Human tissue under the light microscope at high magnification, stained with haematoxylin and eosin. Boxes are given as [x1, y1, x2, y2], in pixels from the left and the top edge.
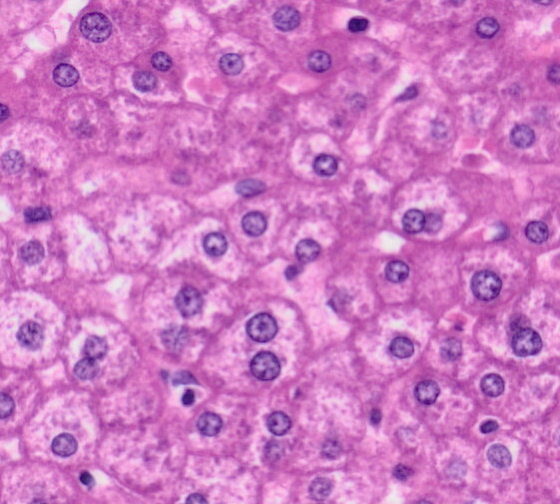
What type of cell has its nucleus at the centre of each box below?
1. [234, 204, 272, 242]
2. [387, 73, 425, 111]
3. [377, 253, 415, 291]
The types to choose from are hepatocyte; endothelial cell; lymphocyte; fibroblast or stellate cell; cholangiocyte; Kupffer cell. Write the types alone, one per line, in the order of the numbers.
hepatocyte
Kupffer cell
hepatocyte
